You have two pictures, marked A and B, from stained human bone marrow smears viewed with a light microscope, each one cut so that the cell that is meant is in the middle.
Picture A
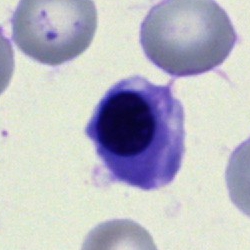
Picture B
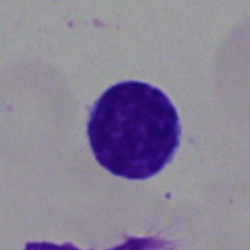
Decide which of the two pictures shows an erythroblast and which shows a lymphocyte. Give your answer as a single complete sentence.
It is picture A that shows an erythroblast, and picture B that shows a lymphocyte.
